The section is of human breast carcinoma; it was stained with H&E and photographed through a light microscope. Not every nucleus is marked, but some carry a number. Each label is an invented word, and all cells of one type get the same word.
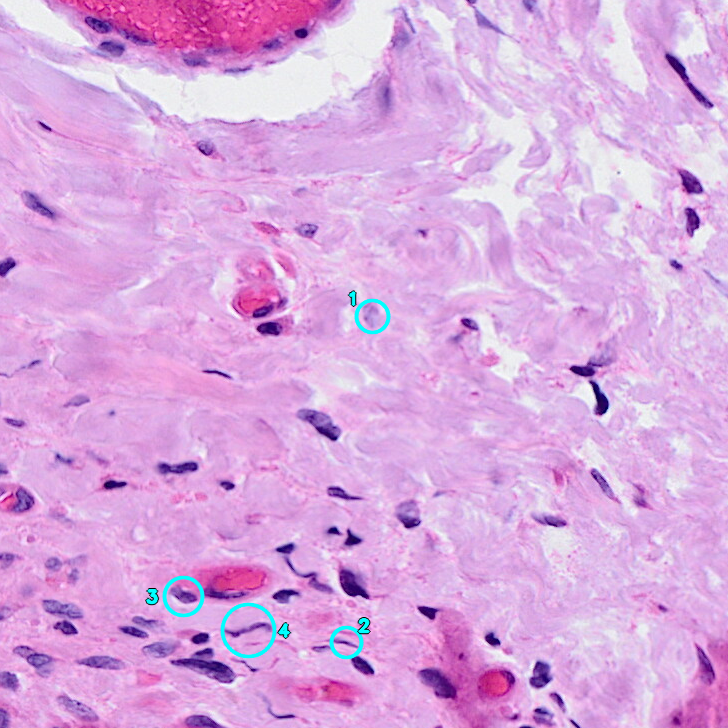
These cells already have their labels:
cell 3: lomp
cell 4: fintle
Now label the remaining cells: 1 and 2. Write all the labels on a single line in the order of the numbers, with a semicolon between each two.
fintle; fintle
